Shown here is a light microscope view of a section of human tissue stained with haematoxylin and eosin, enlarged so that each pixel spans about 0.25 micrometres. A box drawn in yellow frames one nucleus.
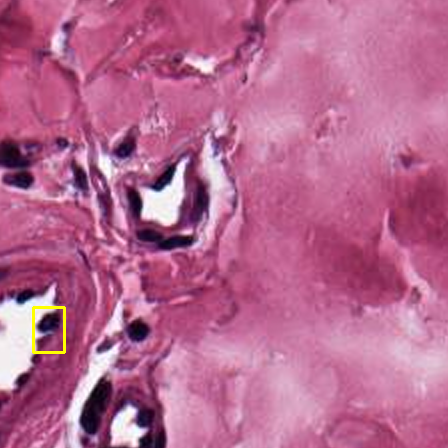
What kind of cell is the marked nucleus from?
endothelial cell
